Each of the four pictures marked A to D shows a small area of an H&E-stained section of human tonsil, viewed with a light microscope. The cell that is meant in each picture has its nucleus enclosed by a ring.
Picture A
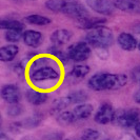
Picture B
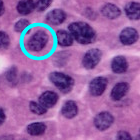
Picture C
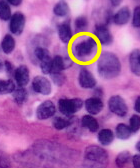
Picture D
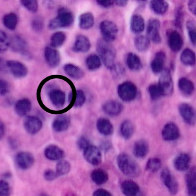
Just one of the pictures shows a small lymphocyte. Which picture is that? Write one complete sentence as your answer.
Picture C is the one that shows the small lymphocyte.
